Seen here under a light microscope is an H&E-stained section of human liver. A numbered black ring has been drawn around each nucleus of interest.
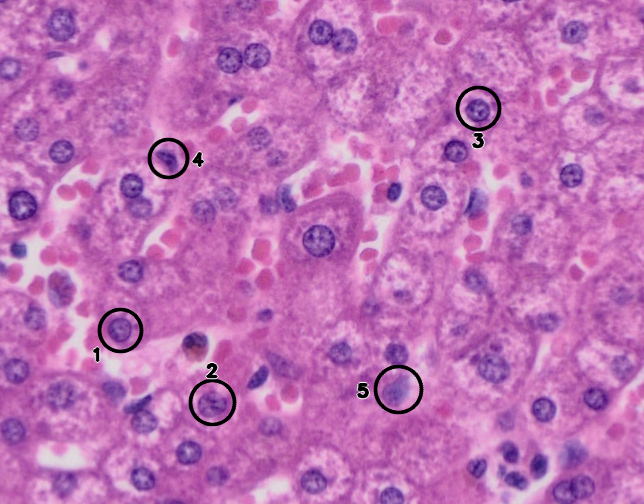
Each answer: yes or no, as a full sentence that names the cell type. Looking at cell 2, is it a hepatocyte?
Yes, it is a hepatocyte that carries the number 2.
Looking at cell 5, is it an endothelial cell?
Yes. The cell carrying number 5 is an endothelial cell.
